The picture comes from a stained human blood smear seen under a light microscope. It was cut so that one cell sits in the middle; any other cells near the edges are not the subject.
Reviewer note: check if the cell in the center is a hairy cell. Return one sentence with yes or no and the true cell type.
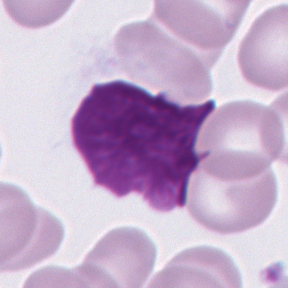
No, it is a smudge cell that sits in the middle, not a hairy cell.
